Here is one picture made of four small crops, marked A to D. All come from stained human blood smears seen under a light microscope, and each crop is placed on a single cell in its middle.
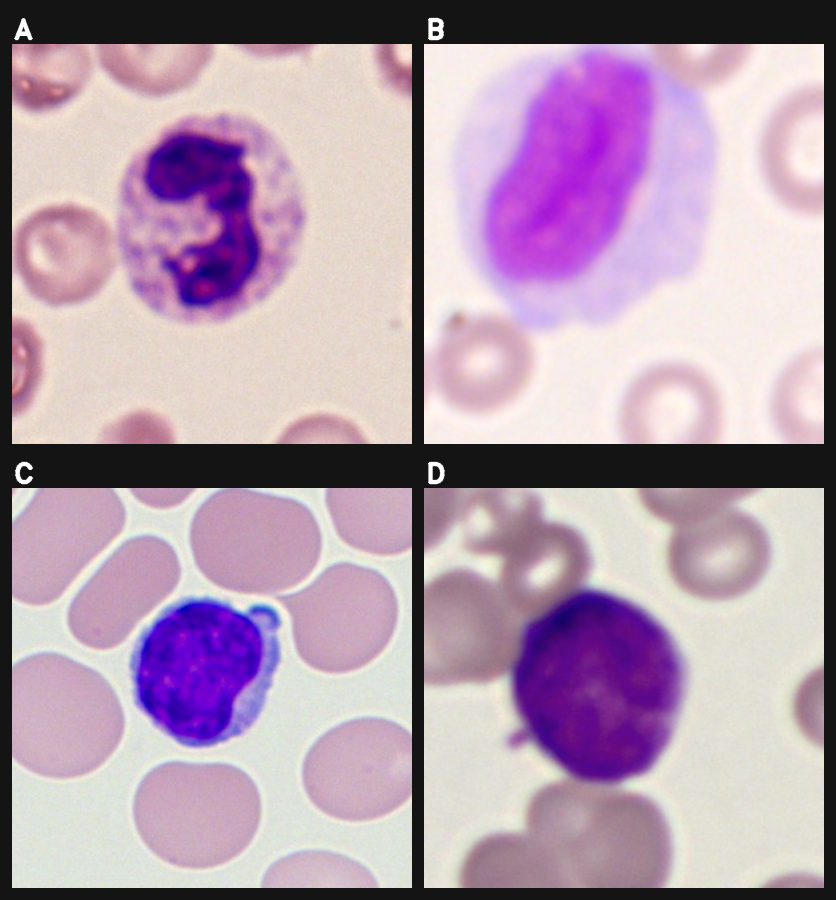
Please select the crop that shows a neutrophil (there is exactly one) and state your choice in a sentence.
It is in crop A, among all the crops, that a neutrophil is present.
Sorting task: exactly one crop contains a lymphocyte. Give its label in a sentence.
Crop C is the one that shows a lymphocyte.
